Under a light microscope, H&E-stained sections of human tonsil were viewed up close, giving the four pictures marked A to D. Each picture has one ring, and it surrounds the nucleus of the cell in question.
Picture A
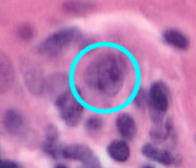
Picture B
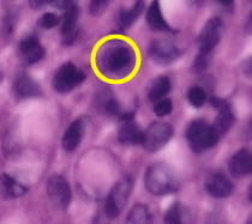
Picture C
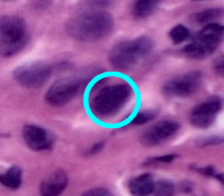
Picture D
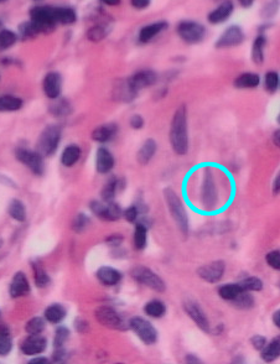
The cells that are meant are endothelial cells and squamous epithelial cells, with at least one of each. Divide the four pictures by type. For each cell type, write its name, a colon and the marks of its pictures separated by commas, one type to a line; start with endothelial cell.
endothelial cell: A, D
squamous epithelial cell: B, C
